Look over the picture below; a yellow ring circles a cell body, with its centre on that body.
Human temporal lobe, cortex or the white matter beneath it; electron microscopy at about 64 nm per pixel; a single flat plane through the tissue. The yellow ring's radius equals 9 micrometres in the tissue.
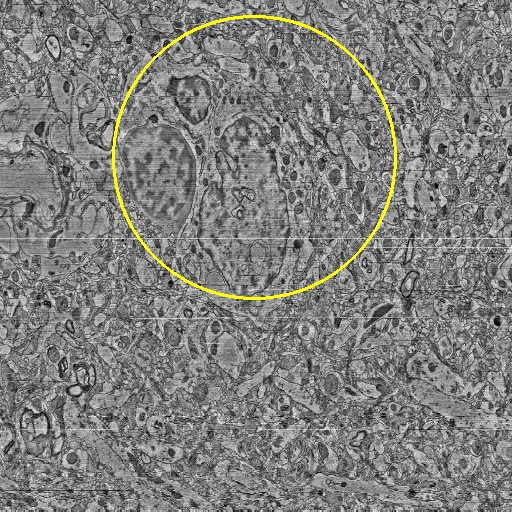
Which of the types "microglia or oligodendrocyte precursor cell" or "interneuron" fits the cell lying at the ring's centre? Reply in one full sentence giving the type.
The picture shows an interneuron at the centre of the yellow ring.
